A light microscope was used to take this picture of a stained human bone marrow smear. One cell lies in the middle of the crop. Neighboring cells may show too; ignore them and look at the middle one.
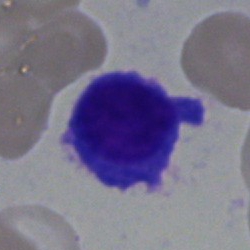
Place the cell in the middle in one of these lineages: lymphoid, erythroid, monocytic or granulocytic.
lymphoid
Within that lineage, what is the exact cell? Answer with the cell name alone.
plasma cell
